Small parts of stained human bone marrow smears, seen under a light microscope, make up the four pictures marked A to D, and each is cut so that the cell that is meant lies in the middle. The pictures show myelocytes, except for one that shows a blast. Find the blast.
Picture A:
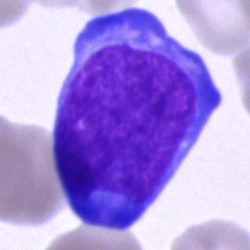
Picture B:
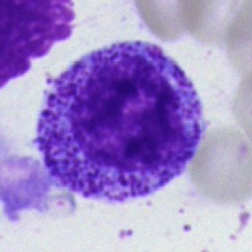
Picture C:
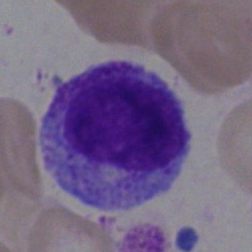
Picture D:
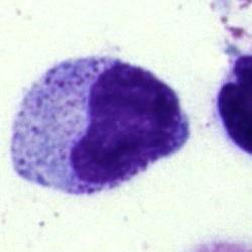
A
